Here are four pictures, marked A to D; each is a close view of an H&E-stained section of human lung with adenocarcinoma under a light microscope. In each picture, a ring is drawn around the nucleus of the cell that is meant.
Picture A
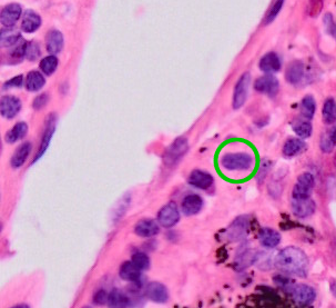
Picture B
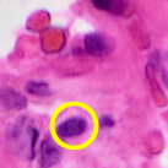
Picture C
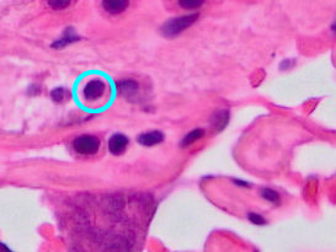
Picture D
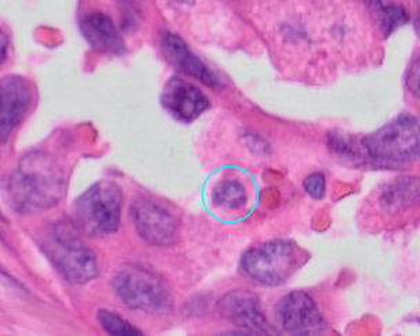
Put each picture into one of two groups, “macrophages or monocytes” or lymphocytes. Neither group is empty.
A: lymphocyte
B: lymphocyte
C: lymphocyte
D: macrophage or monocyte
